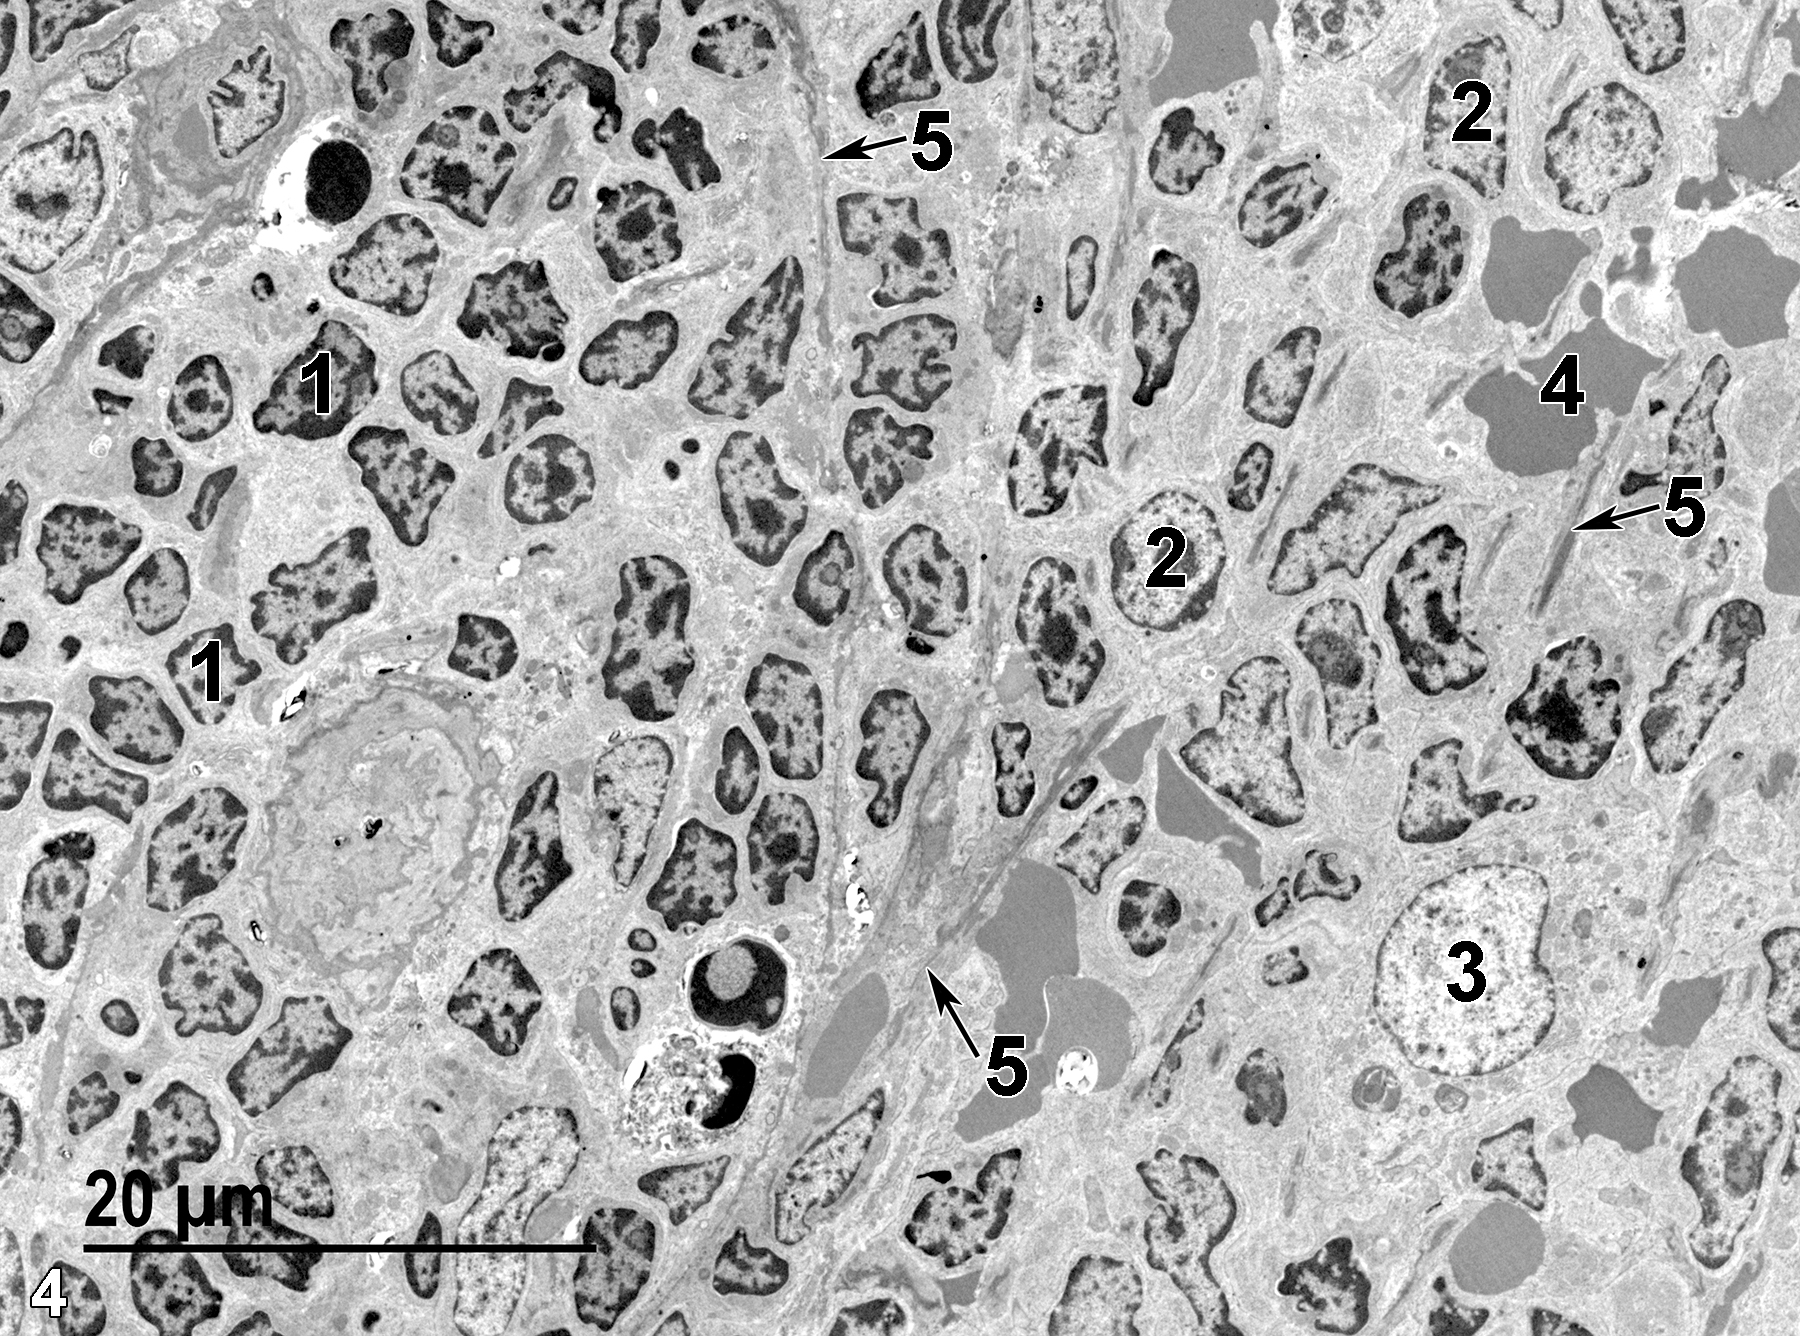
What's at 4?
erythrocytes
